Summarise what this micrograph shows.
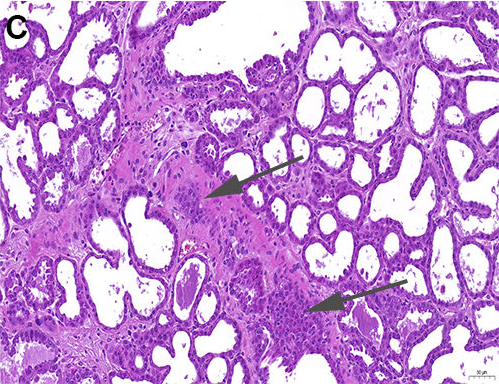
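This is mammary gland tissue with many alveoli lined by a thin layer of epithelium, as in a normal gland, but the picture is less regular. Running through the middle is a broad band of deeper pink material separating groups of alveoli. Within and beside this band lie crowded clusters of small, dark purple nuclei, which the arrows point to. Some alveoli next to this region look smaller and more irregular, and their lining is thicker than the thin epithelium seen elsewhere. Around the edges of the field the alveoli keep their open lumina with pale pink secretion.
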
